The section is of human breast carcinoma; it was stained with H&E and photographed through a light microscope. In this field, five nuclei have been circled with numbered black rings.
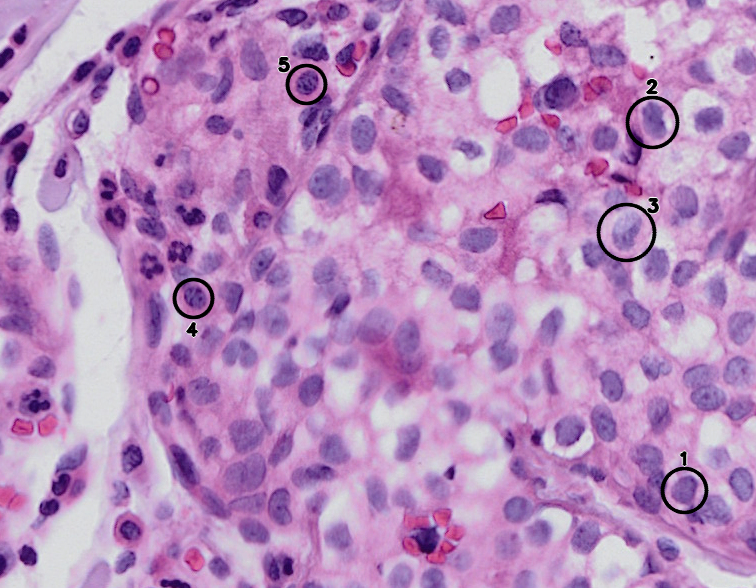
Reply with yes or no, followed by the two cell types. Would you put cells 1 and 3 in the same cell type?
Yes, in the case of cells 1 and 3, both are carcinoma cells.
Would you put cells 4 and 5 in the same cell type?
Yes, the two cells, 4 and 5, are both mast cells.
